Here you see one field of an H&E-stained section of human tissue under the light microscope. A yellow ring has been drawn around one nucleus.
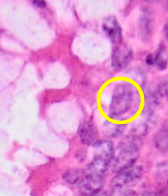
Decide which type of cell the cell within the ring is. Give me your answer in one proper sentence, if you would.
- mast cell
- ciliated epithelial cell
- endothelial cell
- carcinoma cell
Labelled by cell type, the cell within the ring is a ciliated epithelial cell.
